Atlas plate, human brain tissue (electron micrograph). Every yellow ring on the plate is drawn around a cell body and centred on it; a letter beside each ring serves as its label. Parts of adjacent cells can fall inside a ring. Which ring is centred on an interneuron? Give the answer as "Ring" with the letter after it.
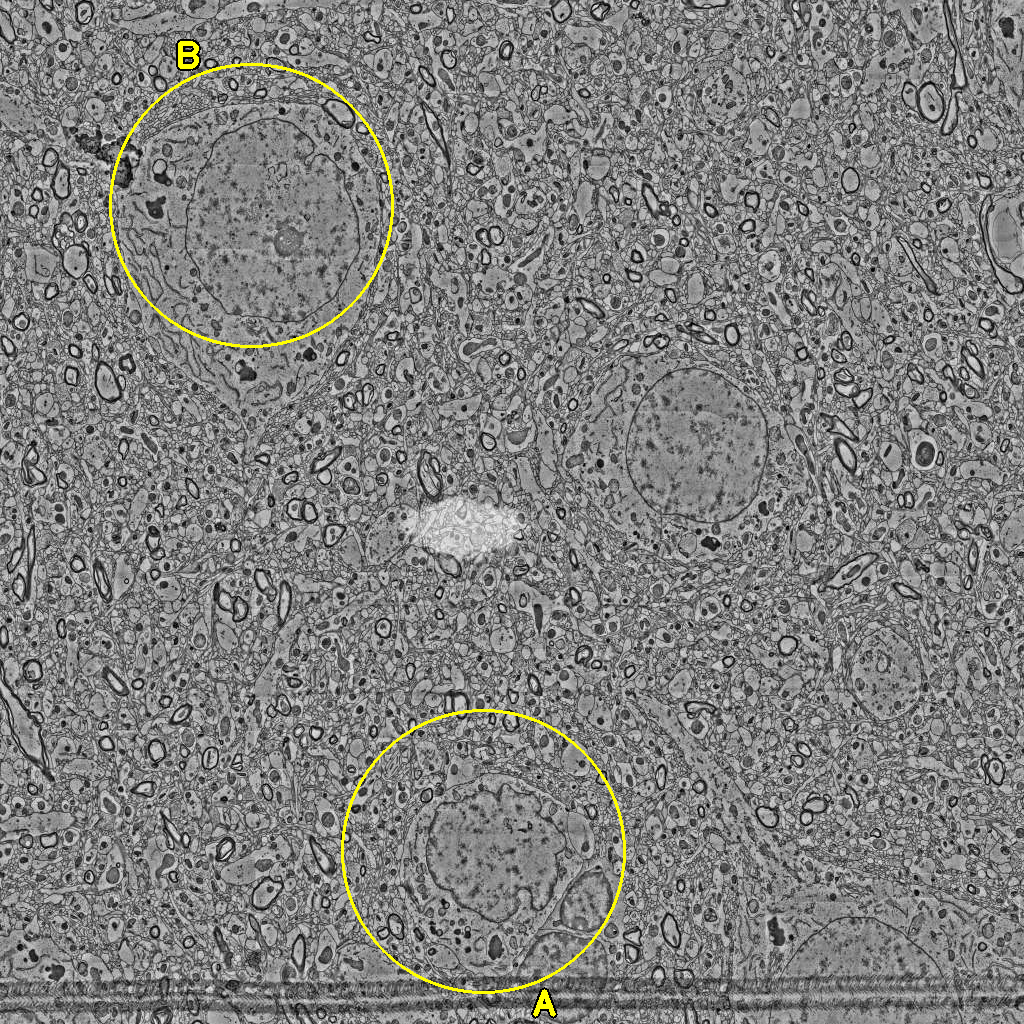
Ring A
